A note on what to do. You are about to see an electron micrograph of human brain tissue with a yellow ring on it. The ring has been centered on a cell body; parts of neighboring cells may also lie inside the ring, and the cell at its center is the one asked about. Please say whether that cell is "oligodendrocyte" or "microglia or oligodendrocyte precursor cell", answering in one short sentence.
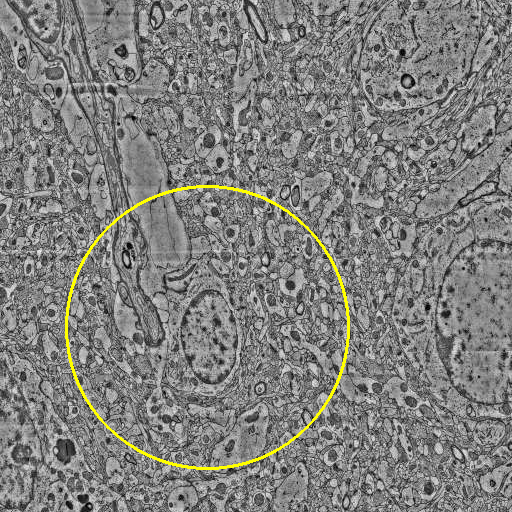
The yellow ring sits on a microglial cell or oligodendrocyte precursor cell.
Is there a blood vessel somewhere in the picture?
Yes, one is visible.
